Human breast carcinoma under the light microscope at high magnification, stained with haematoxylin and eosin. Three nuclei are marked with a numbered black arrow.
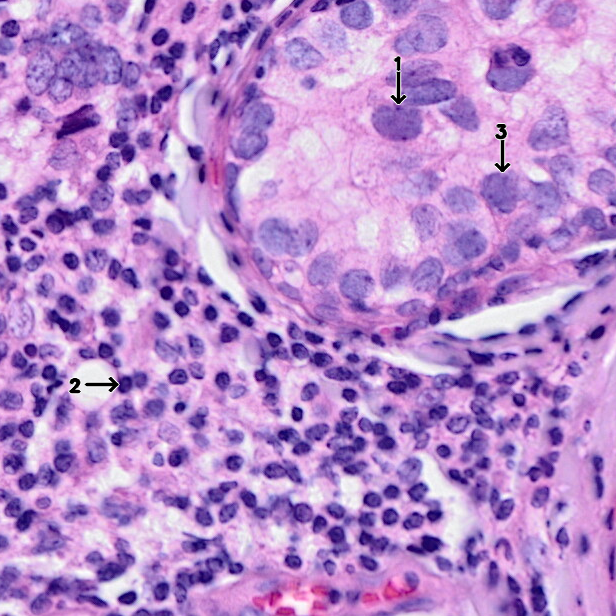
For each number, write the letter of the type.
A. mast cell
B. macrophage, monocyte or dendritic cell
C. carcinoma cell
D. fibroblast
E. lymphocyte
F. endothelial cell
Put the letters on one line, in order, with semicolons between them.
C; E; C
